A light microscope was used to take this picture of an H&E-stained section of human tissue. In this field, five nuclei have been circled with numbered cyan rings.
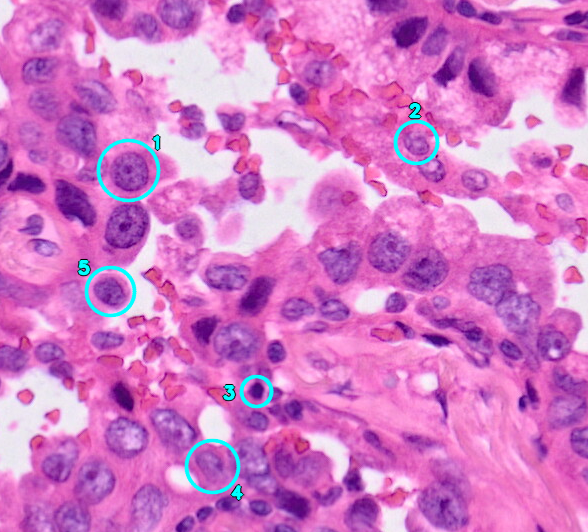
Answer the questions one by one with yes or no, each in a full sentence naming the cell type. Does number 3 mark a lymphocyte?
Yes, the marked cell with number 3 is a lymphocyte.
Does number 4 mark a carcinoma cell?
Yes, the cell distinguished by number 4 is a carcinoma cell.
